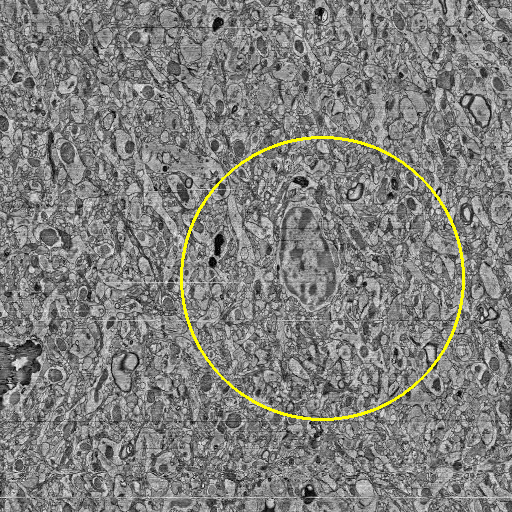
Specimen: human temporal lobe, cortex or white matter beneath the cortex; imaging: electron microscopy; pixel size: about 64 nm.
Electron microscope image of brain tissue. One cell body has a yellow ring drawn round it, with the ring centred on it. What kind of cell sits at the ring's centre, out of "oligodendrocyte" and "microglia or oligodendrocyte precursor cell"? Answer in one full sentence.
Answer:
It is a microglial cell or oligodendrocyte precursor cell whose cell body sits at the centre of the yellow ring.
